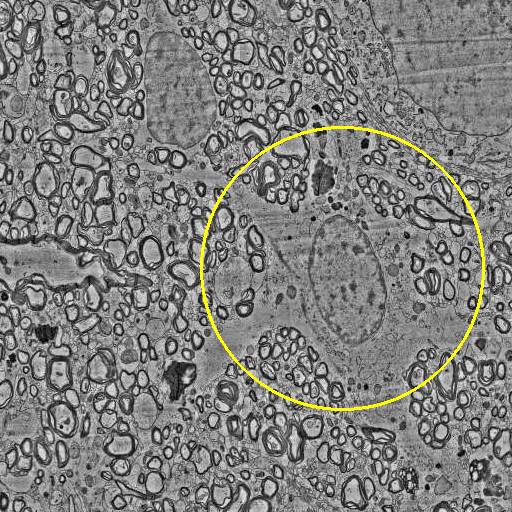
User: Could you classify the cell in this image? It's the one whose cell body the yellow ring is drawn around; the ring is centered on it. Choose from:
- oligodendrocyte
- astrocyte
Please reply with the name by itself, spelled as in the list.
astrocyte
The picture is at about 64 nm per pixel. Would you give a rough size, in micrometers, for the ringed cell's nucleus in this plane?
The nucleus measures about 8 by 5 micrometres, so it is clearly longer than it is wide in this plane.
